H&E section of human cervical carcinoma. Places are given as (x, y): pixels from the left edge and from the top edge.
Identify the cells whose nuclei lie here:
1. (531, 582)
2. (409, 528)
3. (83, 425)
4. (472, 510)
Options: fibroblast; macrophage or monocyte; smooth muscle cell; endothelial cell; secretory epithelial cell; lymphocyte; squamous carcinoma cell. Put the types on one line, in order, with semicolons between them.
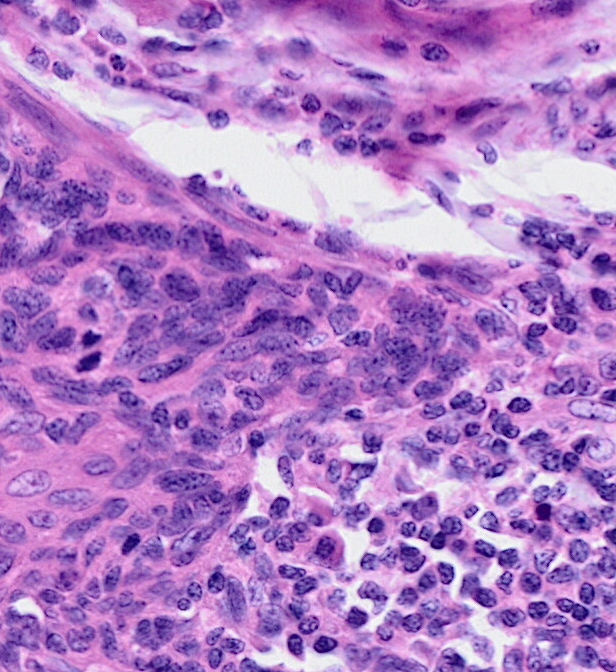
lymphocyte; lymphocyte; squamous carcinoma cell; lymphocyte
